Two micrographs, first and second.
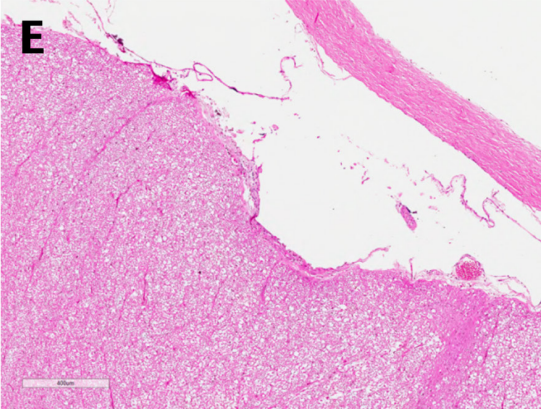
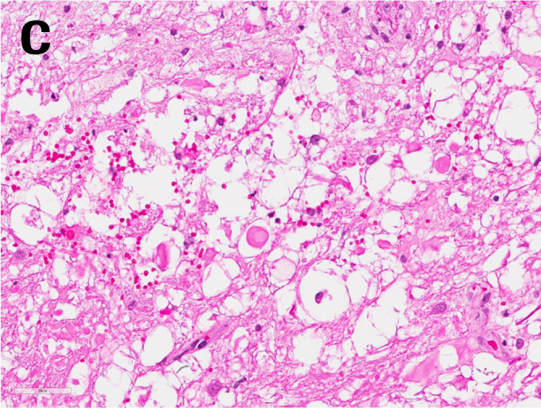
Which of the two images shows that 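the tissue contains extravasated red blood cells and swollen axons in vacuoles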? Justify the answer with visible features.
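The second image. First image: evenly textured white matter with a surface dent and no red blood cells in the tissue. Second image: loose vacuolated tissue with many red blood cells and round eosinophilic bodies in clear spaces.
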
